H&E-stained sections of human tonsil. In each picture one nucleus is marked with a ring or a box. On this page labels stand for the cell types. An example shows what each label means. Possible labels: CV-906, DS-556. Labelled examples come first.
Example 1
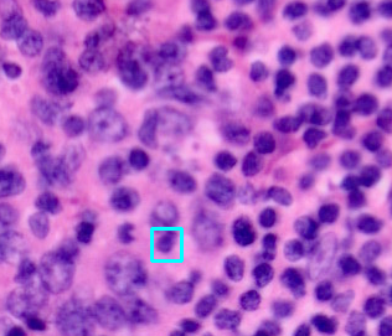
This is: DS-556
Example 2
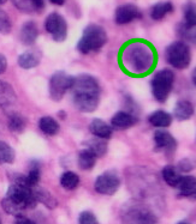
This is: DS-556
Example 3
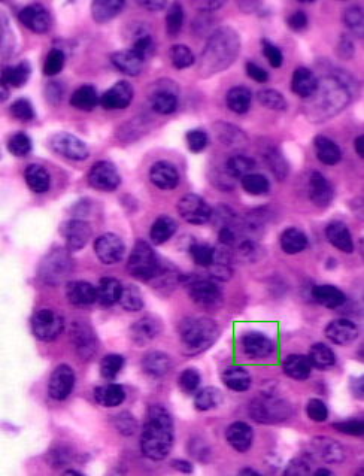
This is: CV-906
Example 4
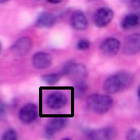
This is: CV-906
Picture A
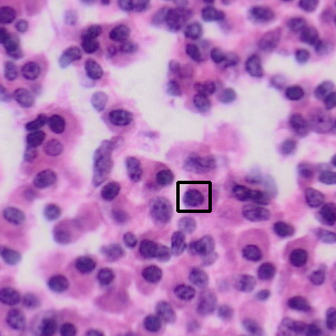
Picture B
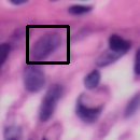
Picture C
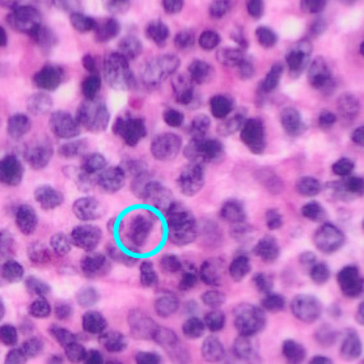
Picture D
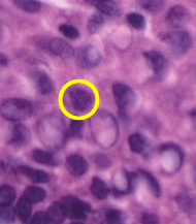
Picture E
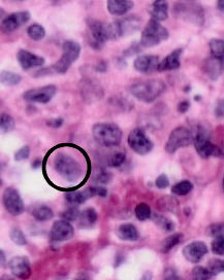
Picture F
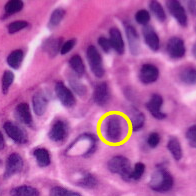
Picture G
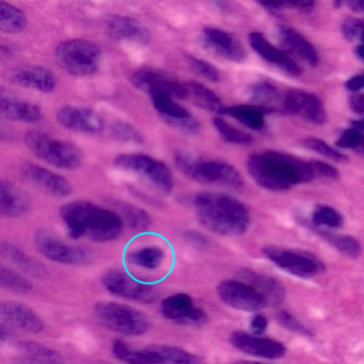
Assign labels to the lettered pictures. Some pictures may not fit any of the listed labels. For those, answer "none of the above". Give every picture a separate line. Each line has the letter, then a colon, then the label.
A: CV-906
B: none of the above
C: DS-556
D: none of the above
E: DS-556
F: none of the above
G: none of the above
